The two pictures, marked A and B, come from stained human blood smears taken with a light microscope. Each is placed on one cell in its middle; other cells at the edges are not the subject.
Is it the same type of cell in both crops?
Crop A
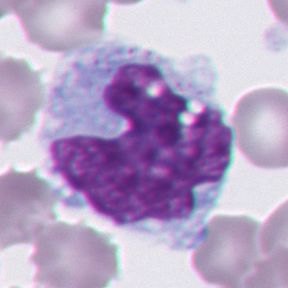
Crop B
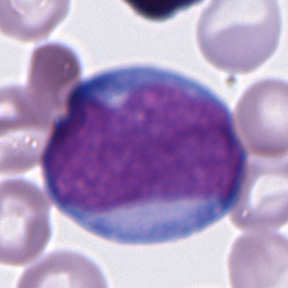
no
